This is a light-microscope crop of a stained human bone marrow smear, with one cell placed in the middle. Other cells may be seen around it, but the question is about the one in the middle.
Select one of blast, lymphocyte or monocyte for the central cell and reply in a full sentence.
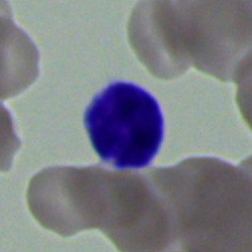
The cell marked by its central position in the crop is a lymphocyte.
